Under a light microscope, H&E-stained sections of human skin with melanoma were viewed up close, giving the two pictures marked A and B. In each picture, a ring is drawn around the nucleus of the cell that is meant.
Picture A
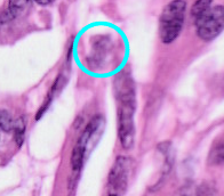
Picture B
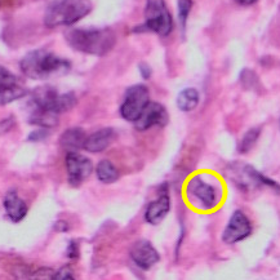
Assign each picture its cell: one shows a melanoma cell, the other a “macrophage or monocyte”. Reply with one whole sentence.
Picture A shows a melanoma cell and picture B shows a “macrophage or monocyte”.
